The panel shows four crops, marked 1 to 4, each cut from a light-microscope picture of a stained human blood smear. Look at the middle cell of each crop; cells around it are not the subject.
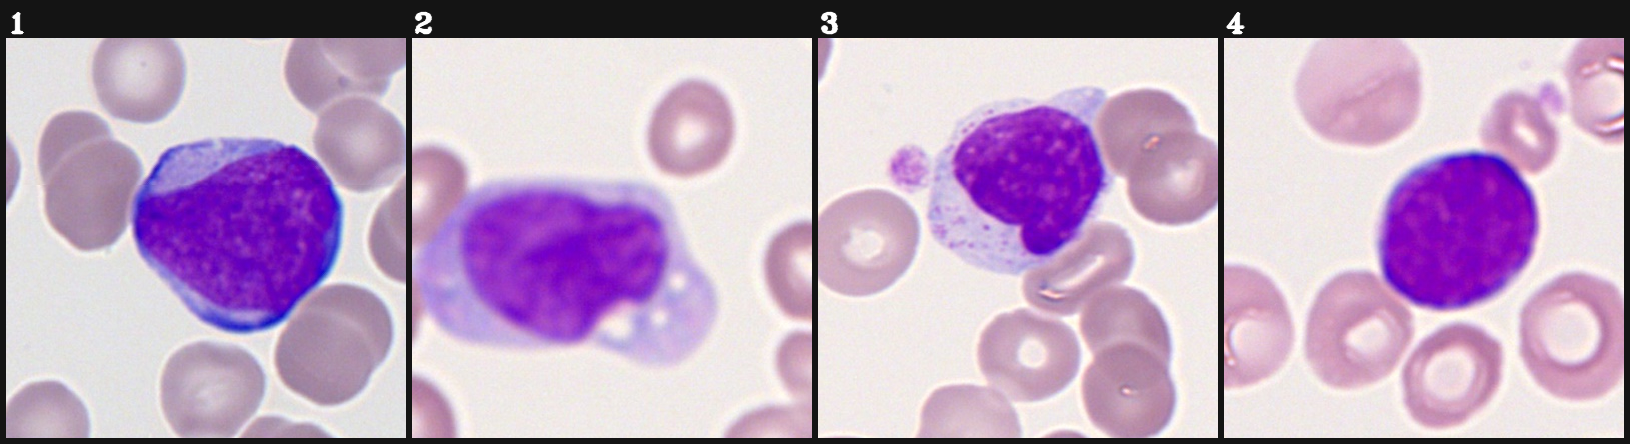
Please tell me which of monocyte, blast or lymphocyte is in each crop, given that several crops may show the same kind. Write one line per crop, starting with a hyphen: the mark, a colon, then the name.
- 1: blast
- 2: monocyte
- 3: lymphocyte
- 4: blast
